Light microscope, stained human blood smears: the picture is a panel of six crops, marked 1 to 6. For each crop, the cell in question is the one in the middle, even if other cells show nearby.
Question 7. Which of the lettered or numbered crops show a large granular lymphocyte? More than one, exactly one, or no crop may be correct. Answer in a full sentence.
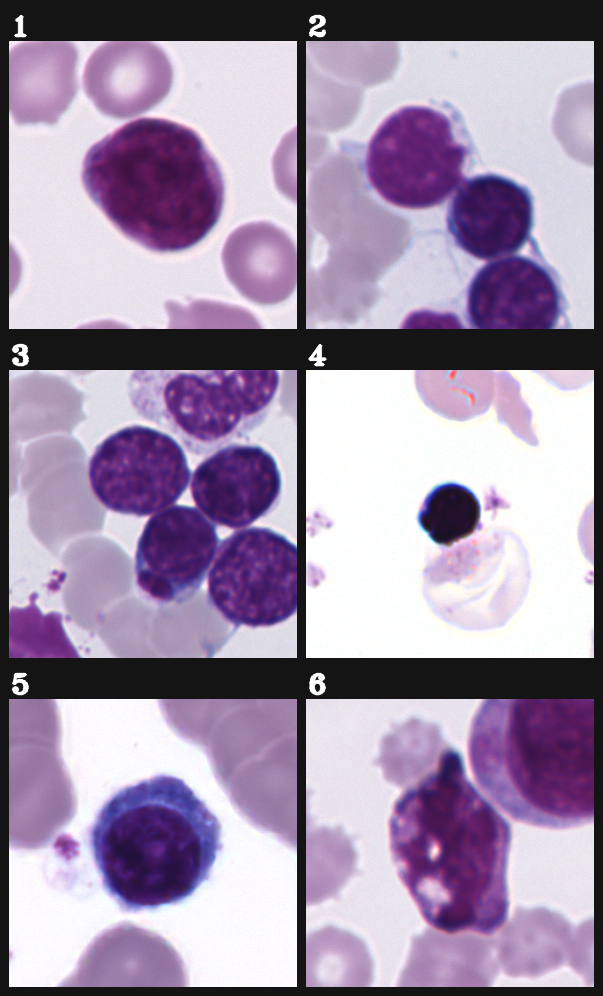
No, none of these crops shows a large granular lymphocyte.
